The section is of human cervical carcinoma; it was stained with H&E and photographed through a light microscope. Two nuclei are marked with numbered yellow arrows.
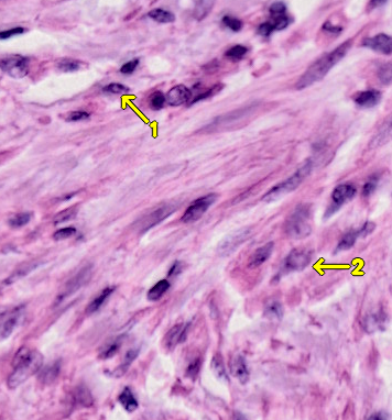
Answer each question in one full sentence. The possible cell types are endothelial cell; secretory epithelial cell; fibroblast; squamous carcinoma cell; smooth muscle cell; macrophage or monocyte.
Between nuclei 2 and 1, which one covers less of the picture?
Nucleus 1 covers less area, with nucleus 2 about 2 times as large.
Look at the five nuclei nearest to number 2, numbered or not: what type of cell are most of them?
Macrophages or monocytes account for more than half of the five nuclei nearest to number 2.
